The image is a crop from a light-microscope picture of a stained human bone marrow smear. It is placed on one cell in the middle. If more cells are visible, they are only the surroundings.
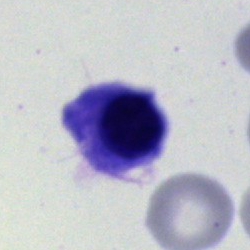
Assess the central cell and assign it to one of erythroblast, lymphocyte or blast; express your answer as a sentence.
The middle cell in this particular crop is an erythroblast.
